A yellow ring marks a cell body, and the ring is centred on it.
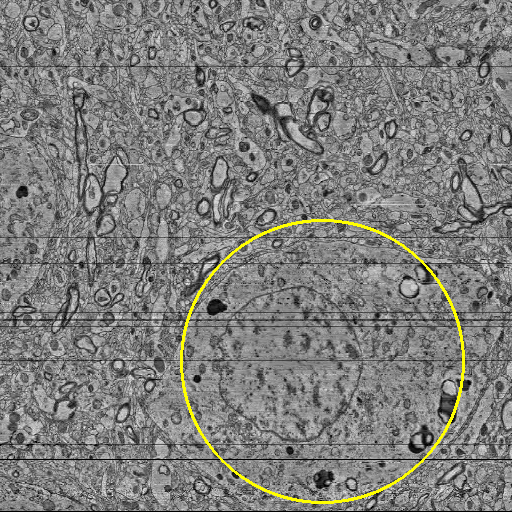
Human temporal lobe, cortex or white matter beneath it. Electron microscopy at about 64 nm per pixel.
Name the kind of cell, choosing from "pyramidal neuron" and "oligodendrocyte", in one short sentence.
The marked cell body belongs to a pyramidal neuron.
